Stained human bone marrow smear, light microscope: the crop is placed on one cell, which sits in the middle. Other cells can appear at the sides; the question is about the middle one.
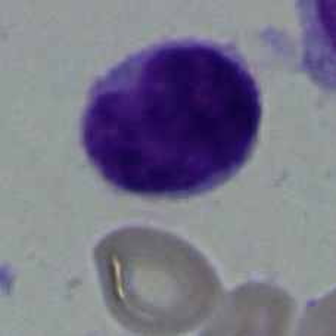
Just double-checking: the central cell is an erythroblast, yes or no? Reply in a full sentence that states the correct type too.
No, what occupies the middle of the crop is a lymphocyte and not an erythroblast.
